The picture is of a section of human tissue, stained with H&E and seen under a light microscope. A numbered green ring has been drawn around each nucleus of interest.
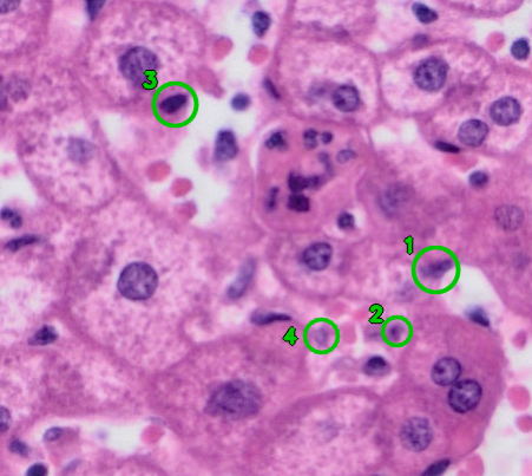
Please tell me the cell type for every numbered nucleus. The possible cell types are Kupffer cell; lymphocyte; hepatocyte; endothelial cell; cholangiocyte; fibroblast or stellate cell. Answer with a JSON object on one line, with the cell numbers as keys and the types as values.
{"1": "fibroblast or stellate cell", "2": "Kupffer cell", "3": "fibroblast or stellate cell", "4": "Kupffer cell"}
